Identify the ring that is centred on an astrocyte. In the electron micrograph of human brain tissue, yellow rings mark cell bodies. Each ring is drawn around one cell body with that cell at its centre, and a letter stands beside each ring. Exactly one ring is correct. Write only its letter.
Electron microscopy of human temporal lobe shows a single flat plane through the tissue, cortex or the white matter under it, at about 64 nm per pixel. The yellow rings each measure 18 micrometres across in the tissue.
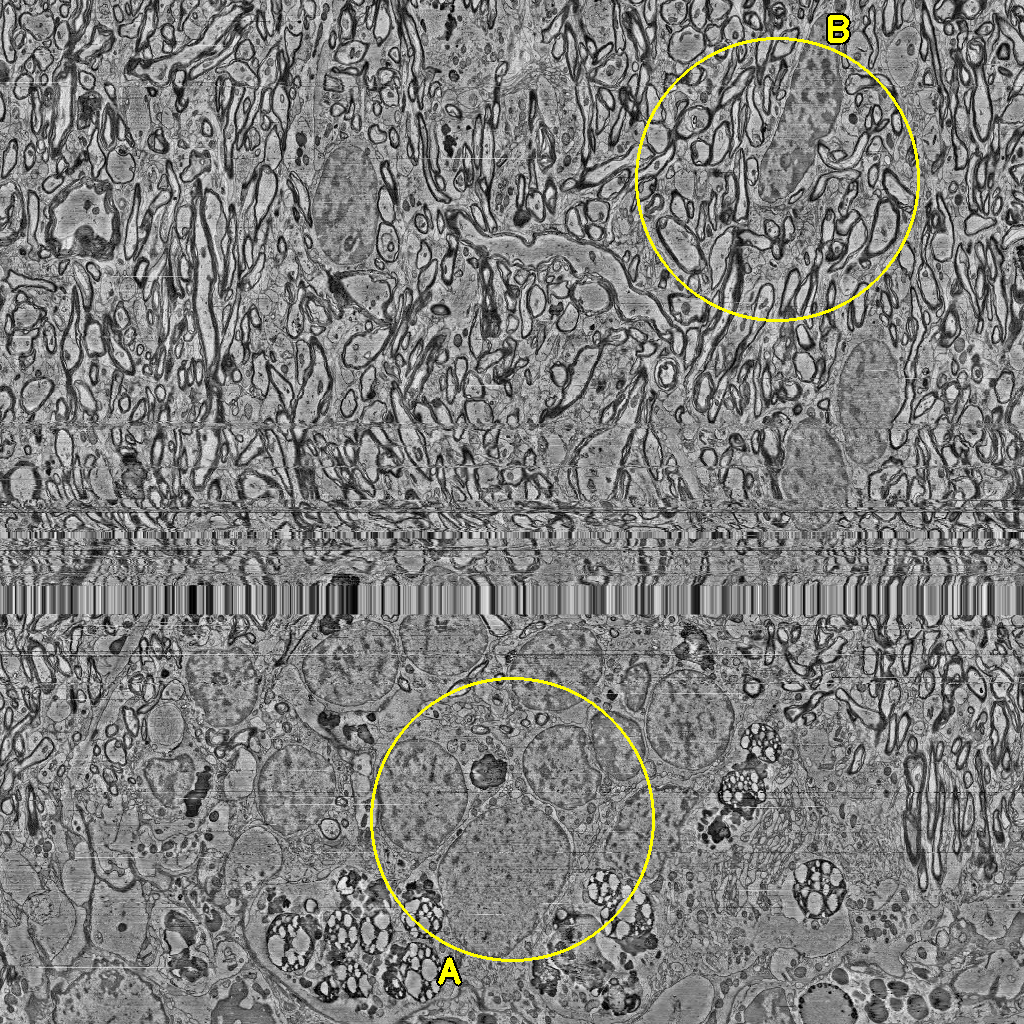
A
